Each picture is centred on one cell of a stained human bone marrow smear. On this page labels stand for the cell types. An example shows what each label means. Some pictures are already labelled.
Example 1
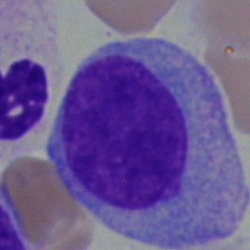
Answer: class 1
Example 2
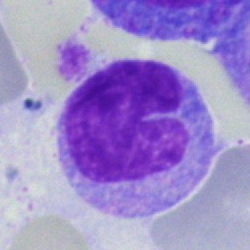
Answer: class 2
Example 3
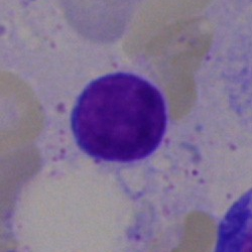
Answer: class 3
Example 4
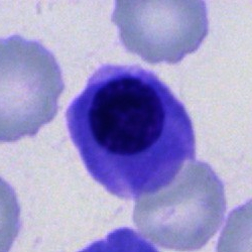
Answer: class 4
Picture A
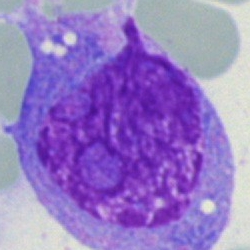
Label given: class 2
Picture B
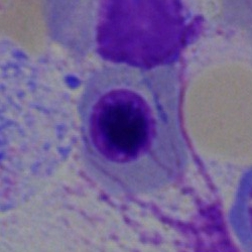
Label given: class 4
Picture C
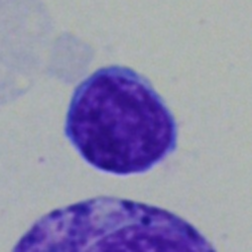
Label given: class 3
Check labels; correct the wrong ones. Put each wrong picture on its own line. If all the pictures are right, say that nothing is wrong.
A: change class 2 to class 1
